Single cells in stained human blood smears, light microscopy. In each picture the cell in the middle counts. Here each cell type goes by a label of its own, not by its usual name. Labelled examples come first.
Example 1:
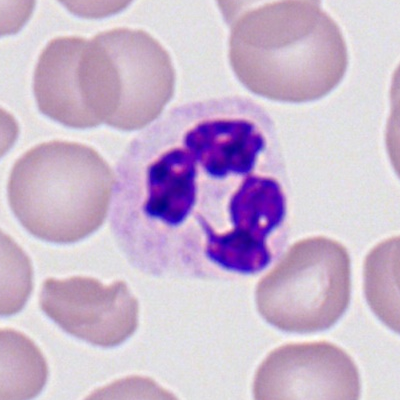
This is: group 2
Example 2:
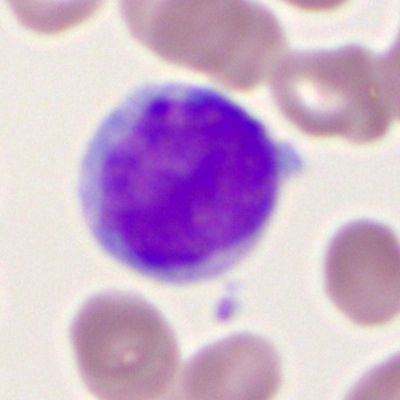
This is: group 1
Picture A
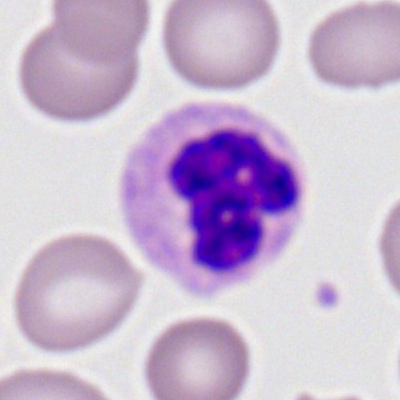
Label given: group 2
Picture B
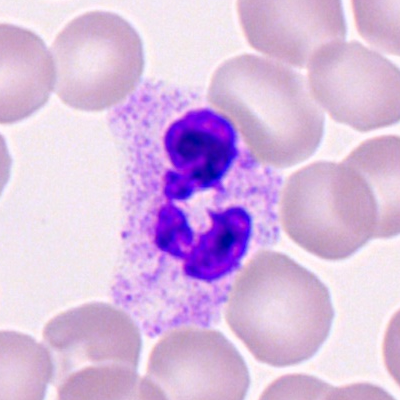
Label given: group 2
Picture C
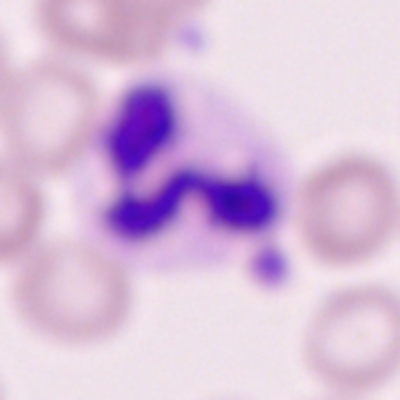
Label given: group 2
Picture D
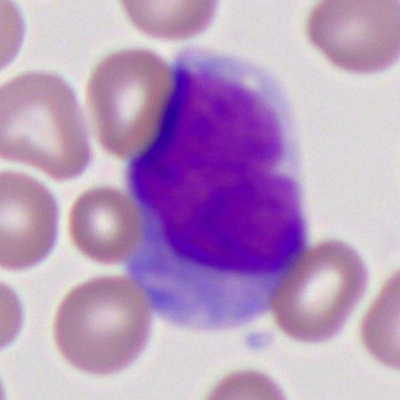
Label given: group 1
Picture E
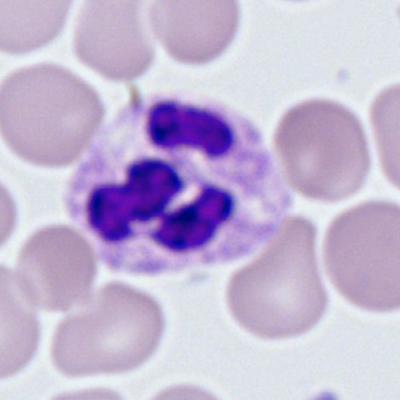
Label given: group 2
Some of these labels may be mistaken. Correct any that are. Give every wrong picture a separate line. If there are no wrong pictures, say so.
Nothing to fix; every label fits.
